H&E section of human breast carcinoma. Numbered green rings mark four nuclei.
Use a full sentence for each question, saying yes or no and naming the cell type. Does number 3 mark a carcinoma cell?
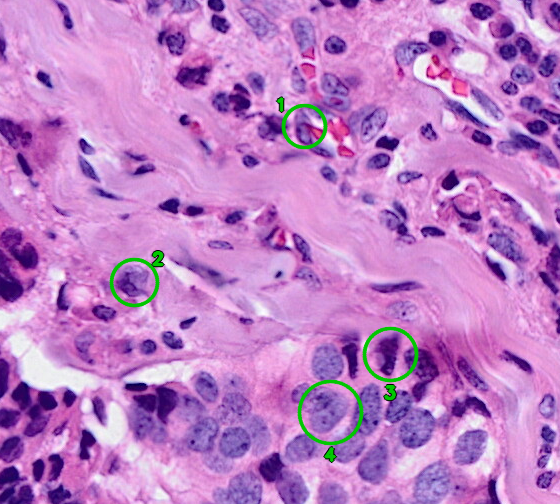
Yes, cell number 3 is classified as a carcinoma cell.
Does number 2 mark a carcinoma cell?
No, cell 2 is not a carcinoma cell; it is a fibroblast.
